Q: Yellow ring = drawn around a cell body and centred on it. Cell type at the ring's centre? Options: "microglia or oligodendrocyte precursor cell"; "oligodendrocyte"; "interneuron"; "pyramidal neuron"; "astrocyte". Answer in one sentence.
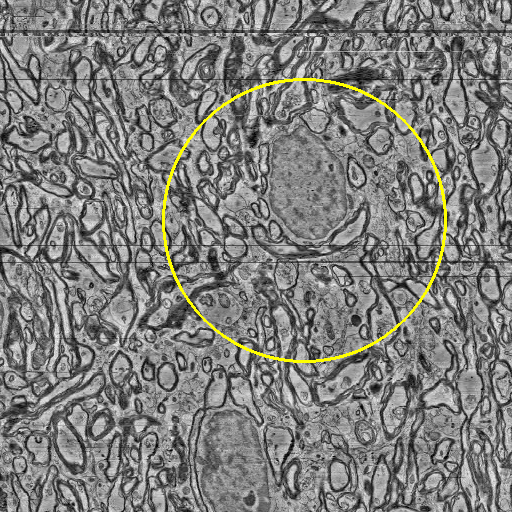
Centred in the ring is an oligodendrocyte.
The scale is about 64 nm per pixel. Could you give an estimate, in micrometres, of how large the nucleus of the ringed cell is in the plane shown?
In this plane the nucleus measures roughly 8 by 6 micrometres.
